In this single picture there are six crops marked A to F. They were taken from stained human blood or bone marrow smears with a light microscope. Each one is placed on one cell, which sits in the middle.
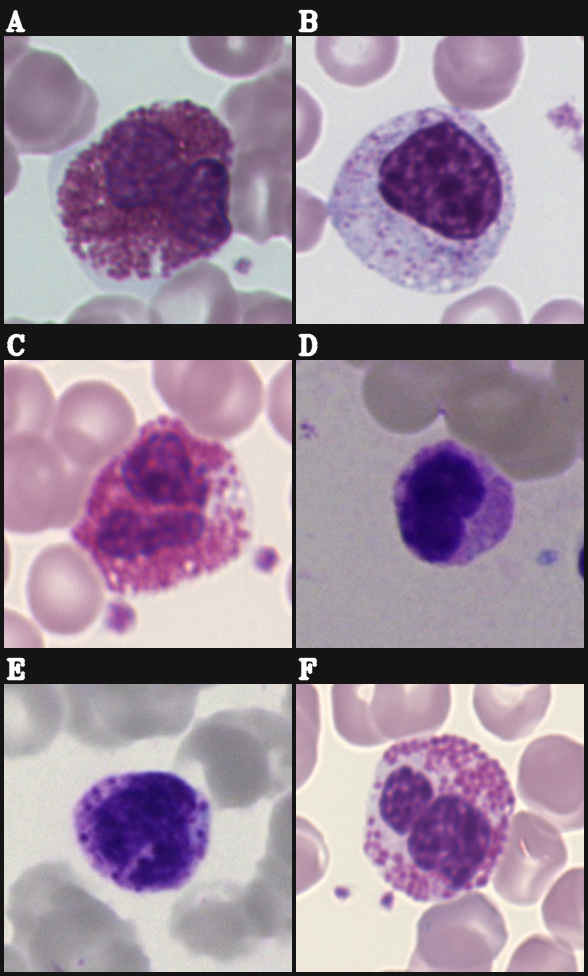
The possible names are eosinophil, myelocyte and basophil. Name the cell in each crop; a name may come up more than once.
A: eosinophil
B: myelocyte
C: eosinophil
D: basophil
E: basophil
F: eosinophil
